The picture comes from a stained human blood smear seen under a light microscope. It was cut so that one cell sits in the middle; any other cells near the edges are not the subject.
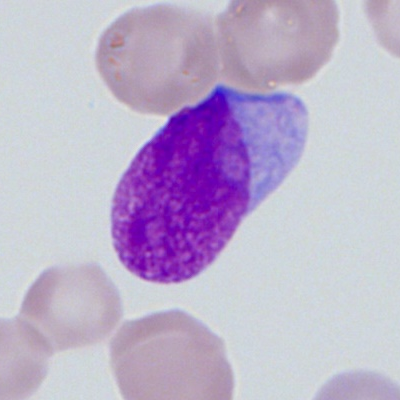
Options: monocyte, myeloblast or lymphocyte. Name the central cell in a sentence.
The cell found in the middle of this crop is a myeloblast.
